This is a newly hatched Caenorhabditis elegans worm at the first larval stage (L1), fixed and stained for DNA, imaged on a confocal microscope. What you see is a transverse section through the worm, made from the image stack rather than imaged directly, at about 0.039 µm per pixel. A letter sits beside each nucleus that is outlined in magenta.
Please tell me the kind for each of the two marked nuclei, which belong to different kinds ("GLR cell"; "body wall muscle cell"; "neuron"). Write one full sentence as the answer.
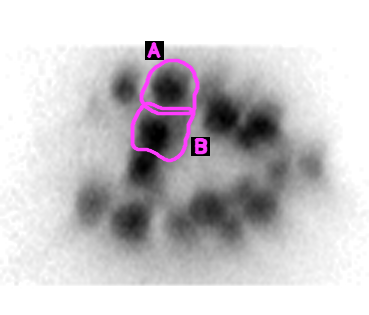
A is in a neuron and B is in a GLR cell.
